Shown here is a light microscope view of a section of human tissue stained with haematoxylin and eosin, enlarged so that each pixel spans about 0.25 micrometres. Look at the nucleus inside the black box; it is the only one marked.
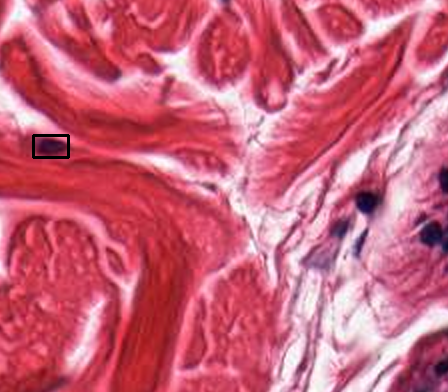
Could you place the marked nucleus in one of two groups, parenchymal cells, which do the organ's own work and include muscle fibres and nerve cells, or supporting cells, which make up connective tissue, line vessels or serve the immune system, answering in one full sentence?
The marked nucleus is designated as the nucleus of a supporting cell.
